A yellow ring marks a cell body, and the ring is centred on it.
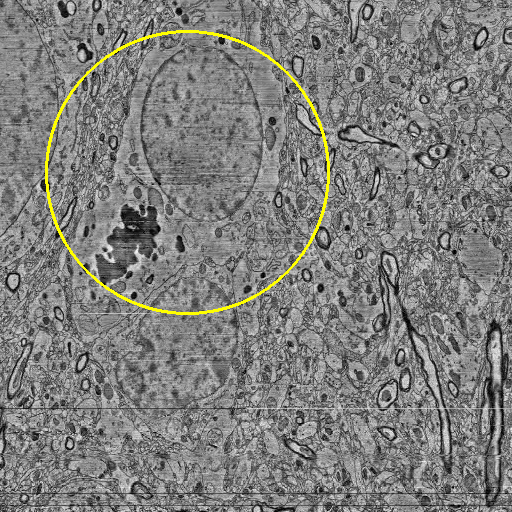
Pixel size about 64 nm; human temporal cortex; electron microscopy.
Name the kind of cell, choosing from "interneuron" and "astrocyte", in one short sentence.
The marked cell body belongs to an astrocyte.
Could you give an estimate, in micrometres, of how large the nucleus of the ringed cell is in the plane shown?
The nucleus is approximately 12 micrometres long but only about 8 wide, clearly longer than it is wide in this plane.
